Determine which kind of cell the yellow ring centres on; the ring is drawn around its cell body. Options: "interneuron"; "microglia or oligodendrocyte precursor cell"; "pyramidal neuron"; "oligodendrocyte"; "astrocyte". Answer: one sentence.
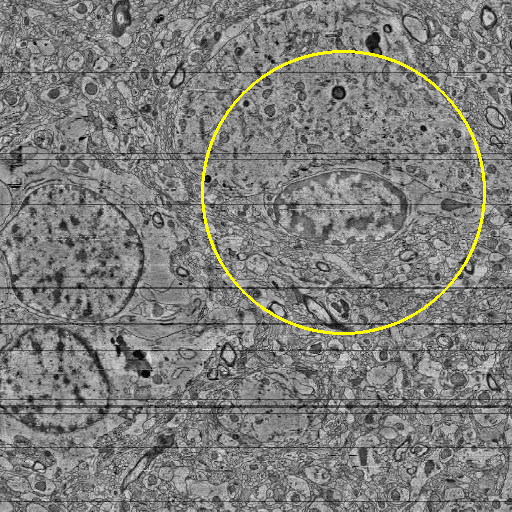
The ring centres on a microglial cell or oligodendrocyte precursor cell.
